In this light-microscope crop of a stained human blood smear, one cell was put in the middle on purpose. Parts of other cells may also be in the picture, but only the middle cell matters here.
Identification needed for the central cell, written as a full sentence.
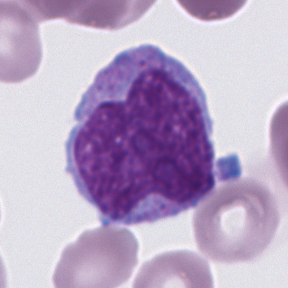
Standing at the centre of this crop is an atypical promyelocyte.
